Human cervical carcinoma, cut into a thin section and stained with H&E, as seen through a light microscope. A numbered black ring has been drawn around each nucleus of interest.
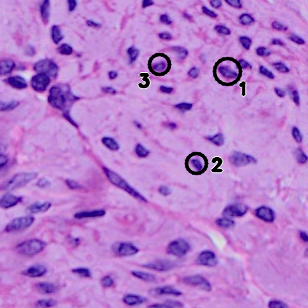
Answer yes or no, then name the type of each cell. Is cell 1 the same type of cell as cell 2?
No, cell 1 is classed as a smooth muscle cell and cell 2 as a fibroblast.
